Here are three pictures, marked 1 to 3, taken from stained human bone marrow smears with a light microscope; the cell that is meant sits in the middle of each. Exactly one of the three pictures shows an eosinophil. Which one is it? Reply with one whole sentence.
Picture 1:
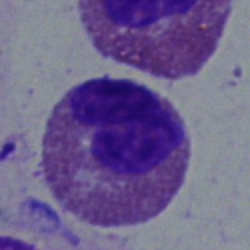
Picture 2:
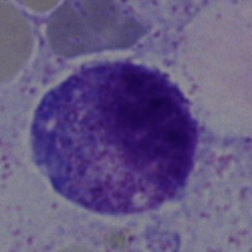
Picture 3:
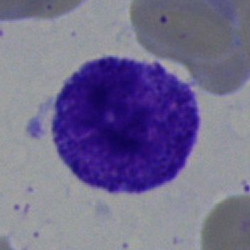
Picture 1 is the one that shows the eosinophil.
